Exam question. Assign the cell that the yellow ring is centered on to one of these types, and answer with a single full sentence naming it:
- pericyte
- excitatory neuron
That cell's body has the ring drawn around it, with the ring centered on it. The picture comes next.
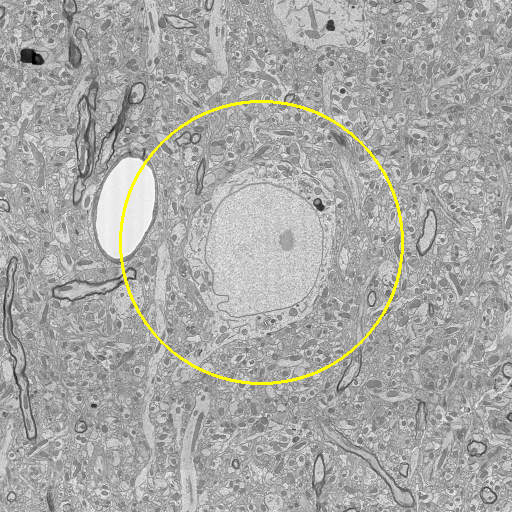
In the micrograph, the cell the yellow ring is centered on is an excitatory neuron.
